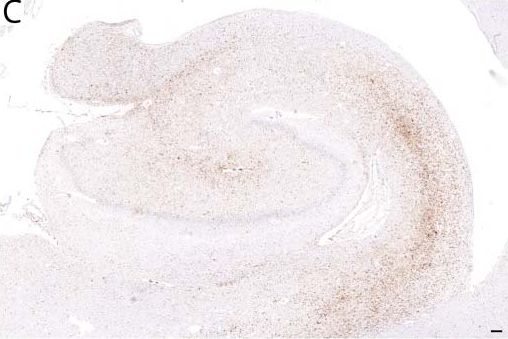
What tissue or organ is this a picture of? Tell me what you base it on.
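Hippocampus. A curved band of grey matter curls around an interlocking C-shaped inner band. A ventricular cleft and white matter border the curled structure.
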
